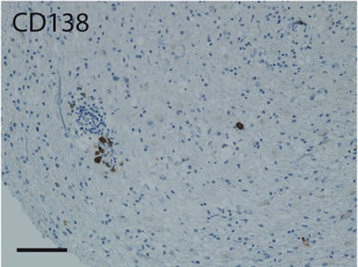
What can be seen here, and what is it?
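Brain tissue is shown with scattered blue nuclei in a pale background. A single brown cell also lies apart in the parenchyma at the right.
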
